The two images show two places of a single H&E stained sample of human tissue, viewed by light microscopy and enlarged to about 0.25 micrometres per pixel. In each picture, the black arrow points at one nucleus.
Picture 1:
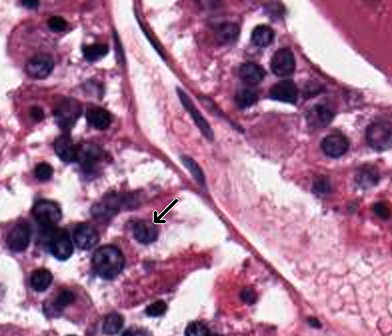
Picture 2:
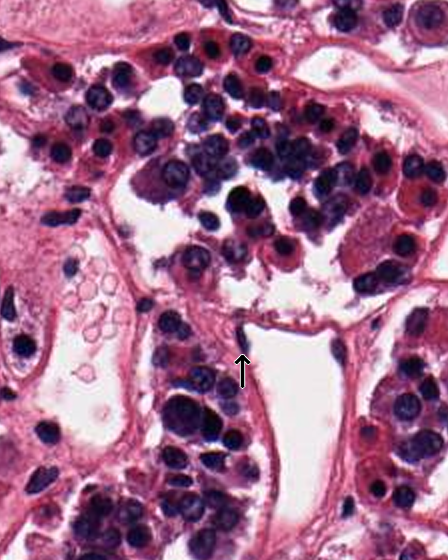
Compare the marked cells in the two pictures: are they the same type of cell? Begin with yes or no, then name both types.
No, the first is an anterior pituitary cell and the second an endothelial cell.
